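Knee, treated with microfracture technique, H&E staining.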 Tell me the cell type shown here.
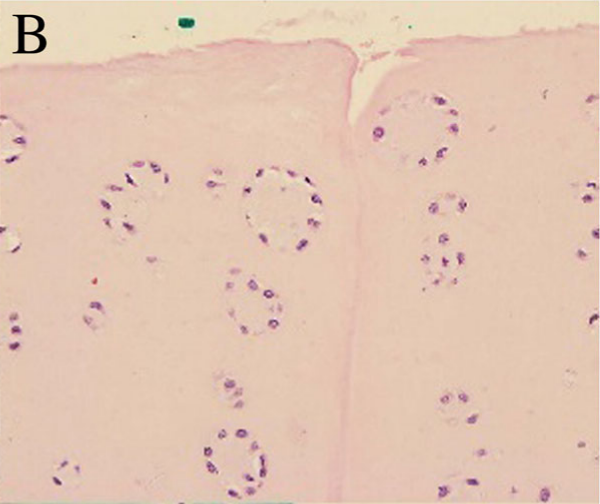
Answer: Chondrocyte clusters.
